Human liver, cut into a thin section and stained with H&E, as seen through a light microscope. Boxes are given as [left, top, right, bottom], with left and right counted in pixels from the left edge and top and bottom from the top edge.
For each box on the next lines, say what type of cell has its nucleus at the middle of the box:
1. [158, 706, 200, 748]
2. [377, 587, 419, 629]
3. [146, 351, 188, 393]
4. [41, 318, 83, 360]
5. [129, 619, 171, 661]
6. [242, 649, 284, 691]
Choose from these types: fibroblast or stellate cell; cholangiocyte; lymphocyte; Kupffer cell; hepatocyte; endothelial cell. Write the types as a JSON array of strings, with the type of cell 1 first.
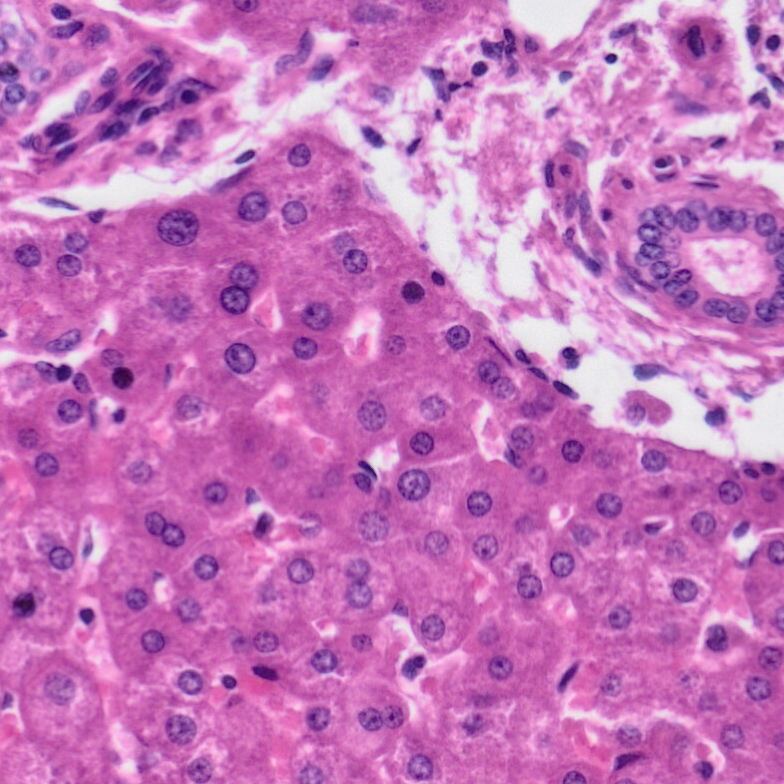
["hepatocyte", "endothelial cell", "endothelial cell", "Kupffer cell", "hepatocyte", "fibroblast or stellate cell"]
